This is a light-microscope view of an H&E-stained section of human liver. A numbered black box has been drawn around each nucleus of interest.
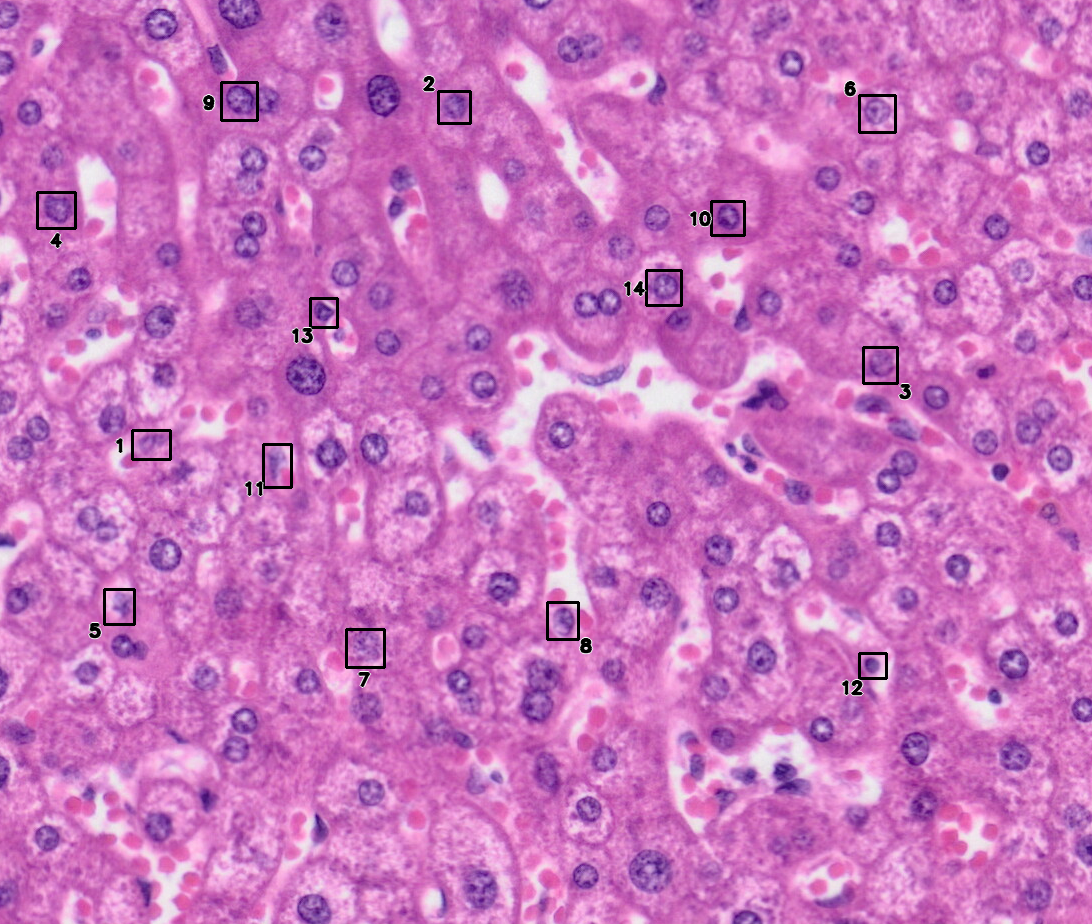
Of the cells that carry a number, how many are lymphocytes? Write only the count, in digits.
1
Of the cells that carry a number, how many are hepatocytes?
8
